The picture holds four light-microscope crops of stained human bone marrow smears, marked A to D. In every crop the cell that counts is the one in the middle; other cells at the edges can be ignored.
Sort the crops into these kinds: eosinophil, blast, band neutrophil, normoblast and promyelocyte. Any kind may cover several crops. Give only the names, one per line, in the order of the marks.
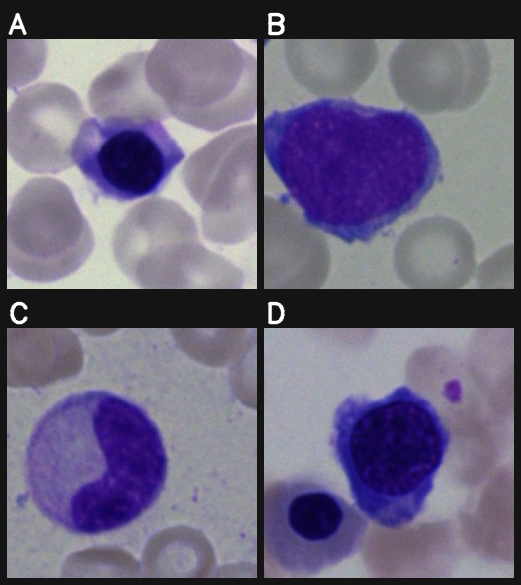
normoblast
blast
band neutrophil
normoblast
